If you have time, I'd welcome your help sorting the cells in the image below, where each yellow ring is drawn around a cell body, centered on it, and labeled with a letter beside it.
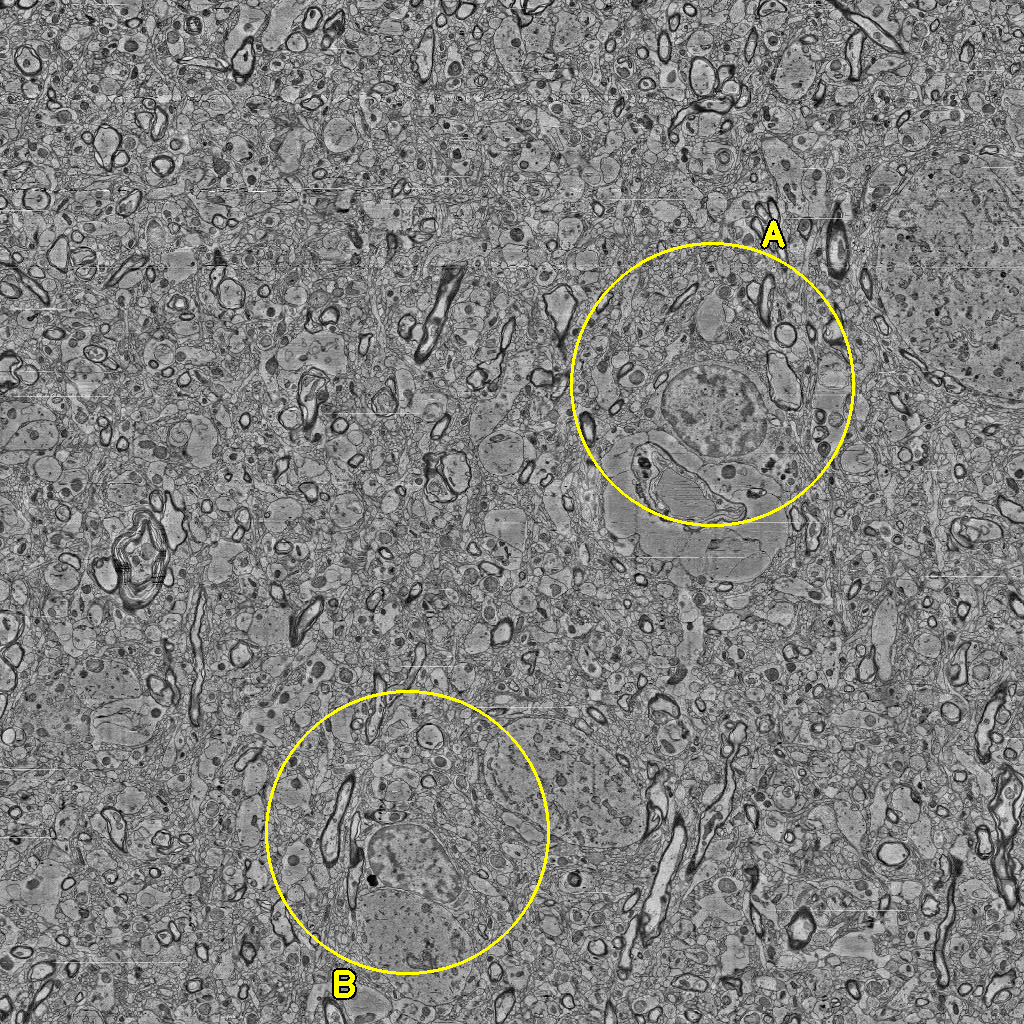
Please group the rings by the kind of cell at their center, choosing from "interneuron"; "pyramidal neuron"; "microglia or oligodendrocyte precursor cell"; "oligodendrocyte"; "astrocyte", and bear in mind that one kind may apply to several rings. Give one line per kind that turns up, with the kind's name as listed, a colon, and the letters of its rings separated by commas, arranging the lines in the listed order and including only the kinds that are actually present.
microglia or oligodendrocyte precursor cell: B
oligodendrocyte: A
